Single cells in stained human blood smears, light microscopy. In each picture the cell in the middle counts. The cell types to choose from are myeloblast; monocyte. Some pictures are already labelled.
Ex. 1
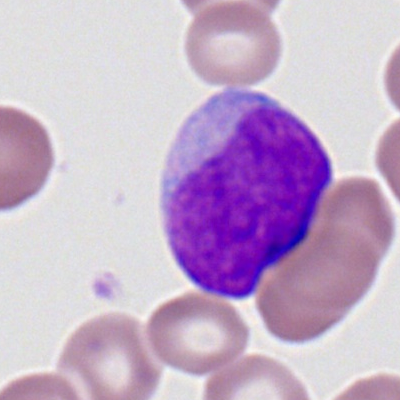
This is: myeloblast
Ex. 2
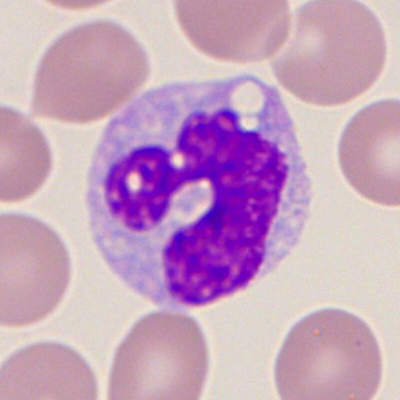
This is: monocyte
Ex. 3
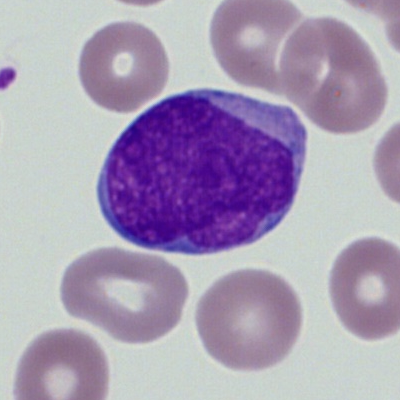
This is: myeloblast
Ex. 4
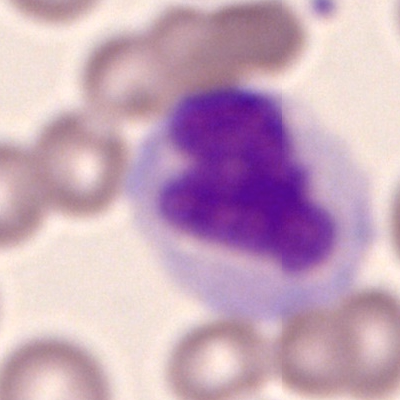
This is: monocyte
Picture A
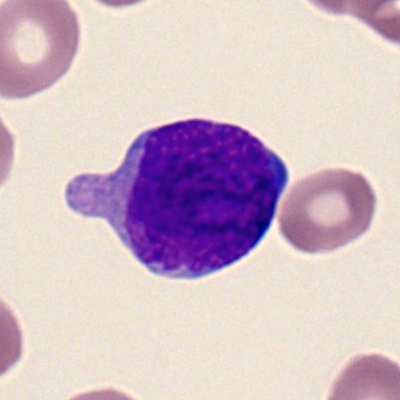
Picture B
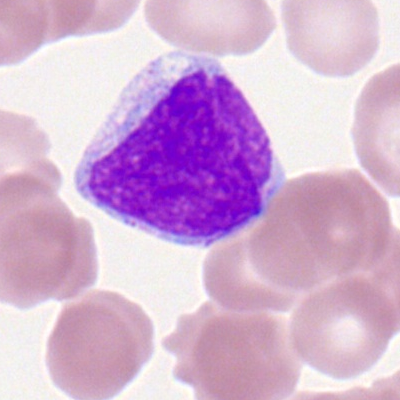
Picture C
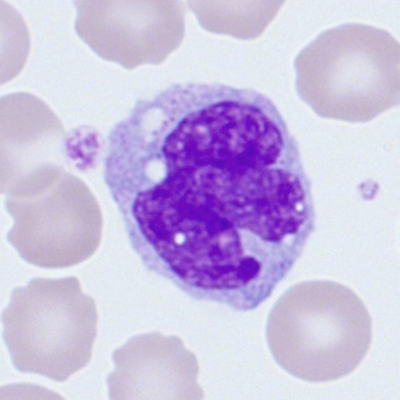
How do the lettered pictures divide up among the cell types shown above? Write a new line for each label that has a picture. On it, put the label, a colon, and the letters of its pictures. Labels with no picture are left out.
myeloblast: A, B
monocyte: C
